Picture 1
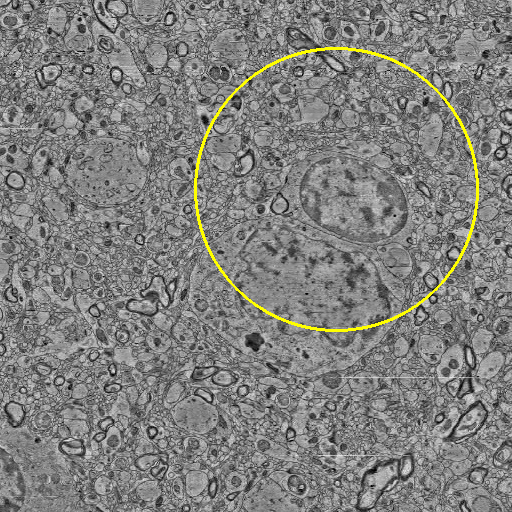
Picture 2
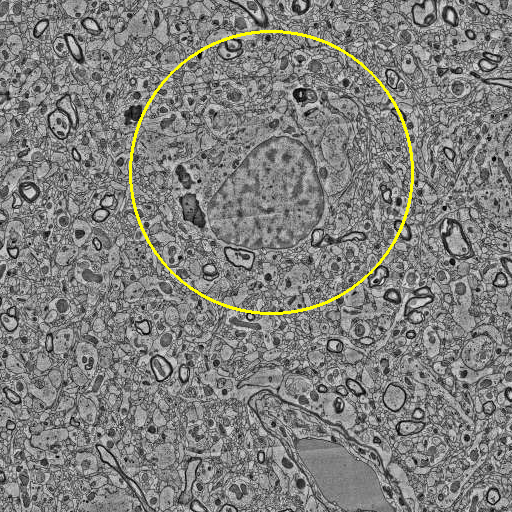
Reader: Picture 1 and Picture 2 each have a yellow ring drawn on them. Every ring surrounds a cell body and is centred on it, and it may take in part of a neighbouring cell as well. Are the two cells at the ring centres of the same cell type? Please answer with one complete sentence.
Yes, both cells are of the same cell type.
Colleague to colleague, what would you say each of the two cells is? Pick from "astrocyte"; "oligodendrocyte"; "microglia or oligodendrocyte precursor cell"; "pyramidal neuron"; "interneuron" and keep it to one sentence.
In both pictures the ring is centred on an oligodendrocyte.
